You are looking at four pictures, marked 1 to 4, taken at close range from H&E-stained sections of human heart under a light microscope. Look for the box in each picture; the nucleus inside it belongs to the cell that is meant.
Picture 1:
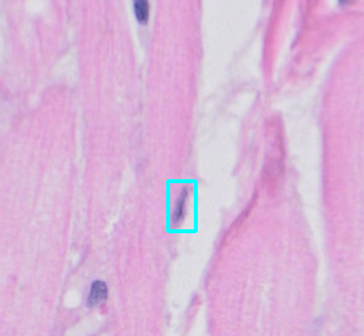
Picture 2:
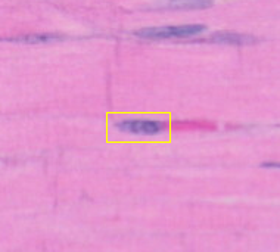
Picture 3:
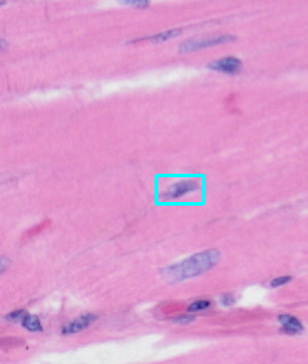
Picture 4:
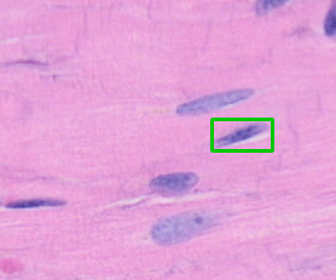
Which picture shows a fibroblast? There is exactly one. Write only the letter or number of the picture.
1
